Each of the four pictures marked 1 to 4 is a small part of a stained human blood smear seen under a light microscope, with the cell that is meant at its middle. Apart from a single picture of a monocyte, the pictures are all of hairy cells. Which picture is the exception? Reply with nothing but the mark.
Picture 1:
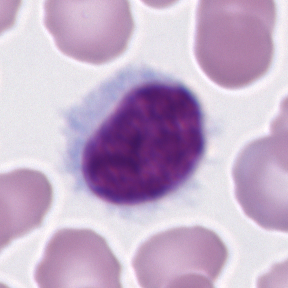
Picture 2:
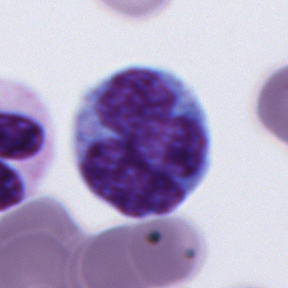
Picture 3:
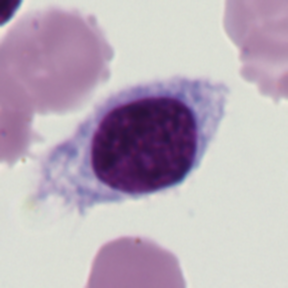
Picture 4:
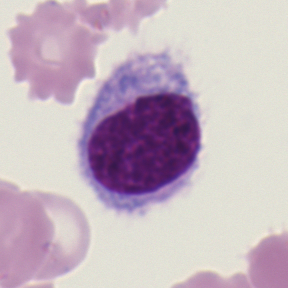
2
